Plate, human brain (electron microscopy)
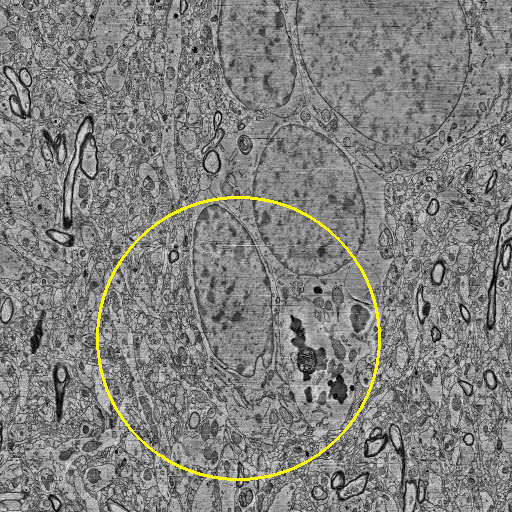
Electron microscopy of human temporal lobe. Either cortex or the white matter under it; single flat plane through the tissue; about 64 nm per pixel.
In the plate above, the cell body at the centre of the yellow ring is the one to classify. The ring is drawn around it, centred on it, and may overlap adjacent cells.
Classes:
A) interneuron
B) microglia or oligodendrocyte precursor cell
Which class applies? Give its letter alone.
B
